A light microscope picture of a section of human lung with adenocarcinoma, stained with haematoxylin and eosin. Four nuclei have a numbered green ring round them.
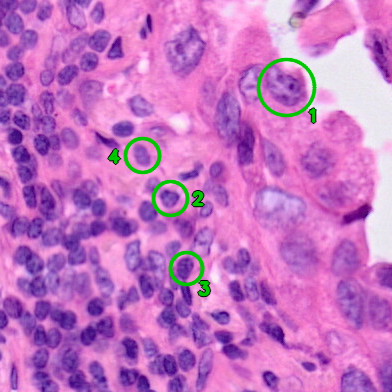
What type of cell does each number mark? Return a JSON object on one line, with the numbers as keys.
{"1": "carcinoma cell", "2": "lymphocyte", "3": "lymphocyte", "4": "lymphocyte"}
